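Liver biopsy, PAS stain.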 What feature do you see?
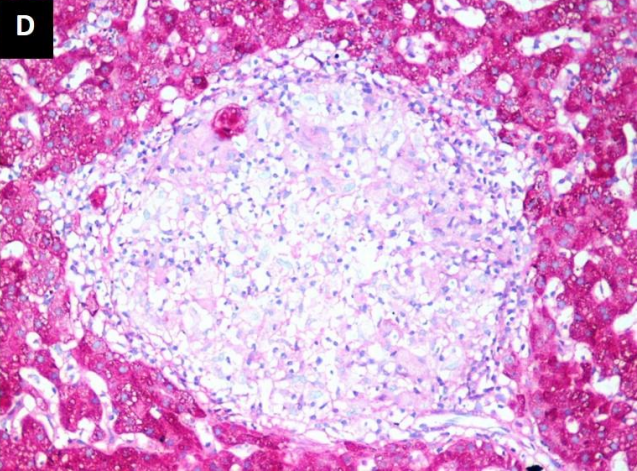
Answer: Granuloma.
